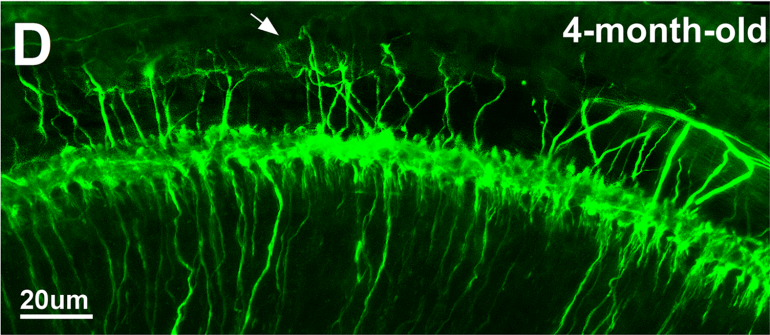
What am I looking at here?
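Radial fibers run up from below to a bright, continuous band at the inner hair cell region. Beyond it, thin fibers extend outward toward the outer hair cell region, but they are unevenly spaced, branched and irregular, some crossing one another and running obliquely, and some ending in small swellings. On the right, thicker fibers run in an unusual fanning arc. The pattern points to aberrant axons and abnormal innervation of the outer hair cells.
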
